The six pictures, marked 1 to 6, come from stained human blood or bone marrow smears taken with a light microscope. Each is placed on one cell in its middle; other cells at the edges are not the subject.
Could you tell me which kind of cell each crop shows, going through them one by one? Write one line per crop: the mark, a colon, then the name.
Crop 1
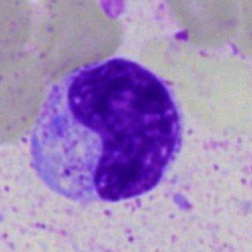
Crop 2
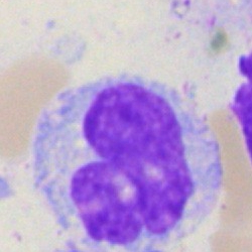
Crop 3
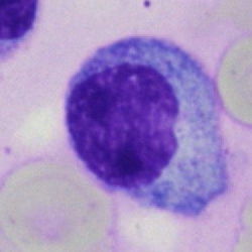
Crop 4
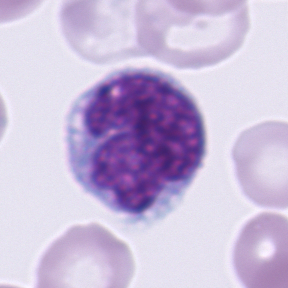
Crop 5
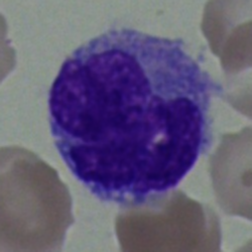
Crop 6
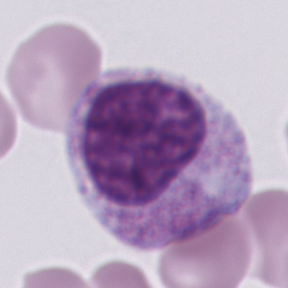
1: metamyelocyte
2: monocyte
3: myelocyte
4: monocyte
5: monocyte
6: myelocyte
